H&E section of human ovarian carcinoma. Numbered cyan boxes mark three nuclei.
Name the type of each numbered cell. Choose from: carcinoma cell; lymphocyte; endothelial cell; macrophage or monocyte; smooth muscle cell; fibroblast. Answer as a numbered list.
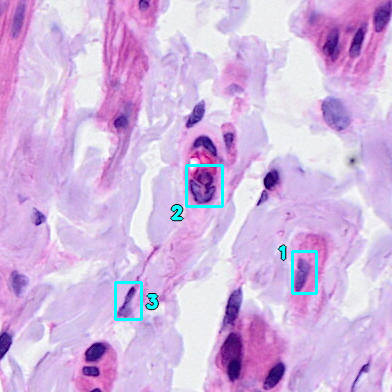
1. smooth muscle cell
2. endothelial cell
3. fibroblast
